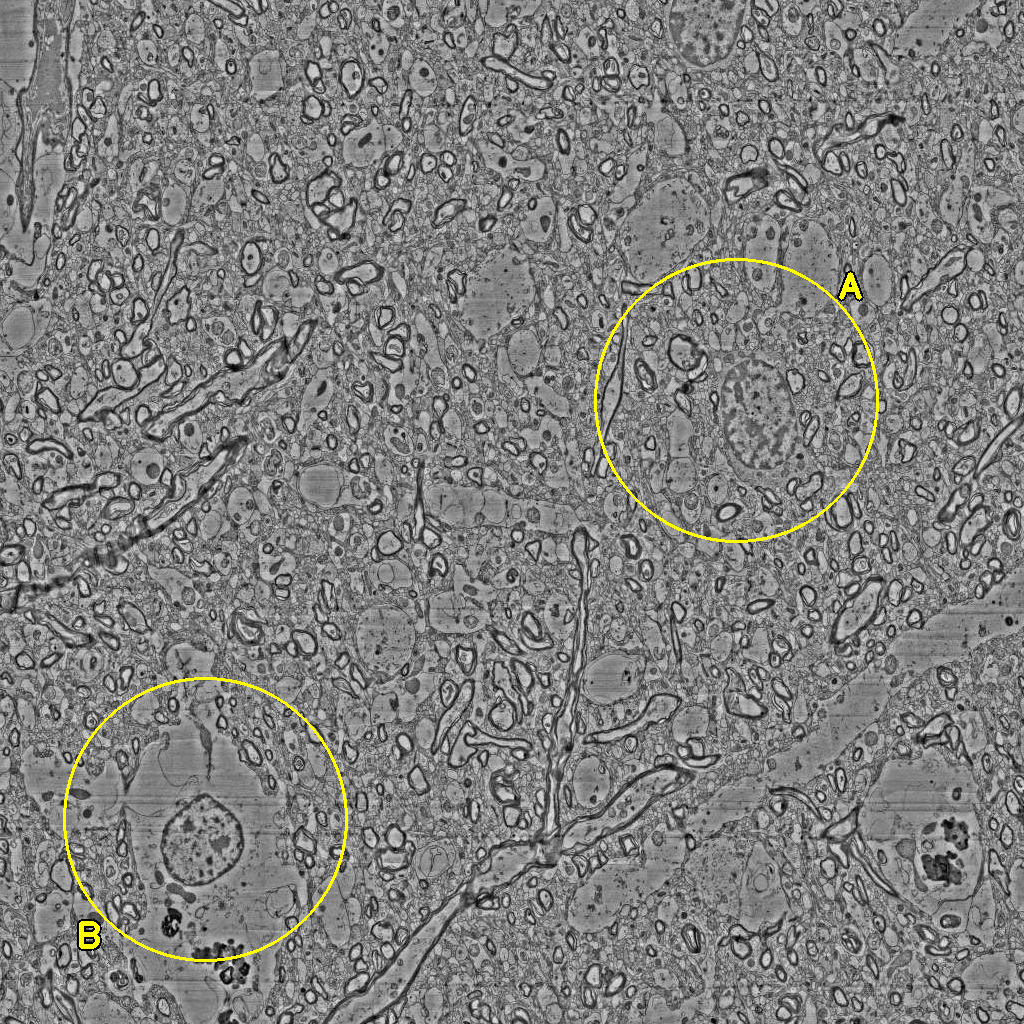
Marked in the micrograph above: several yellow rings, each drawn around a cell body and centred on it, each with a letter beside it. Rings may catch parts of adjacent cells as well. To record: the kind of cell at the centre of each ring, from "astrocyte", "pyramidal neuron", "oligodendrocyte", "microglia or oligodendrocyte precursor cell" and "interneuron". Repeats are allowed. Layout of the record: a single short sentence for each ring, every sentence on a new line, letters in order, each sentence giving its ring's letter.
At the centre of ring A lies an oligodendrocyte.
At the centre of ring B lies an astrocyte.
